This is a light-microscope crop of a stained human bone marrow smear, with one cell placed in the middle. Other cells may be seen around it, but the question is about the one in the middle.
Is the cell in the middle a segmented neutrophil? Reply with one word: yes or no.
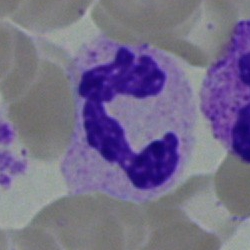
yes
